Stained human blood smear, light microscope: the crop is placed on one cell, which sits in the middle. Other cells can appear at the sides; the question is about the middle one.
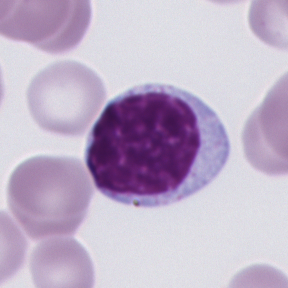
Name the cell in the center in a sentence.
The cell around which this crop is centred is a large granular lymphocyte.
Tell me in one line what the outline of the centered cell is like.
Worth noting that the cell border is smooth and lacks projections.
